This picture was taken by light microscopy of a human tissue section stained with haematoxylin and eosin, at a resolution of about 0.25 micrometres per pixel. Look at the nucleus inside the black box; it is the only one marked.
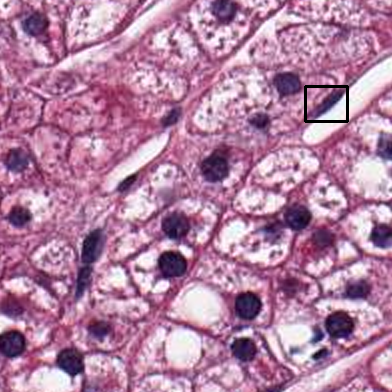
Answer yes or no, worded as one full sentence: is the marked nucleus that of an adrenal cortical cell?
No, the marked nucleus does not come from an adrenal cortical cell but from a supporting cell.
